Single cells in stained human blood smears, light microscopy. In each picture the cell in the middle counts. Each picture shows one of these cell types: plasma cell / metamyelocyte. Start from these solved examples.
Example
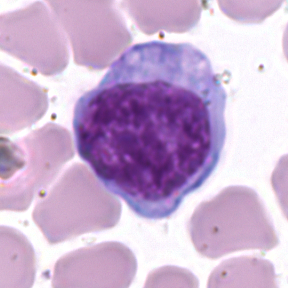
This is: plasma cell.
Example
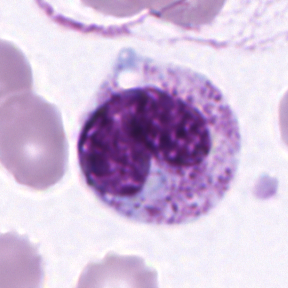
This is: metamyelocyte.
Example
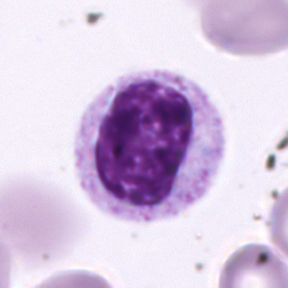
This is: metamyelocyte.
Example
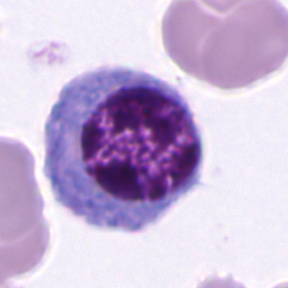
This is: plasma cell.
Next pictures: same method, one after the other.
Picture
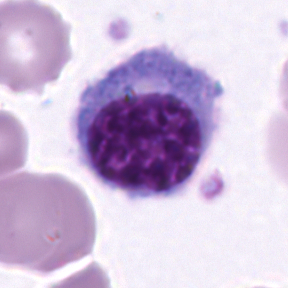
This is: plasma cell.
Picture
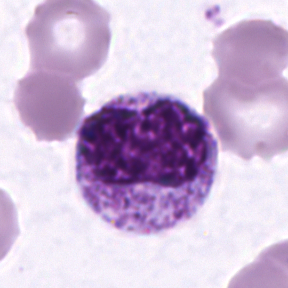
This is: metamyelocyte.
